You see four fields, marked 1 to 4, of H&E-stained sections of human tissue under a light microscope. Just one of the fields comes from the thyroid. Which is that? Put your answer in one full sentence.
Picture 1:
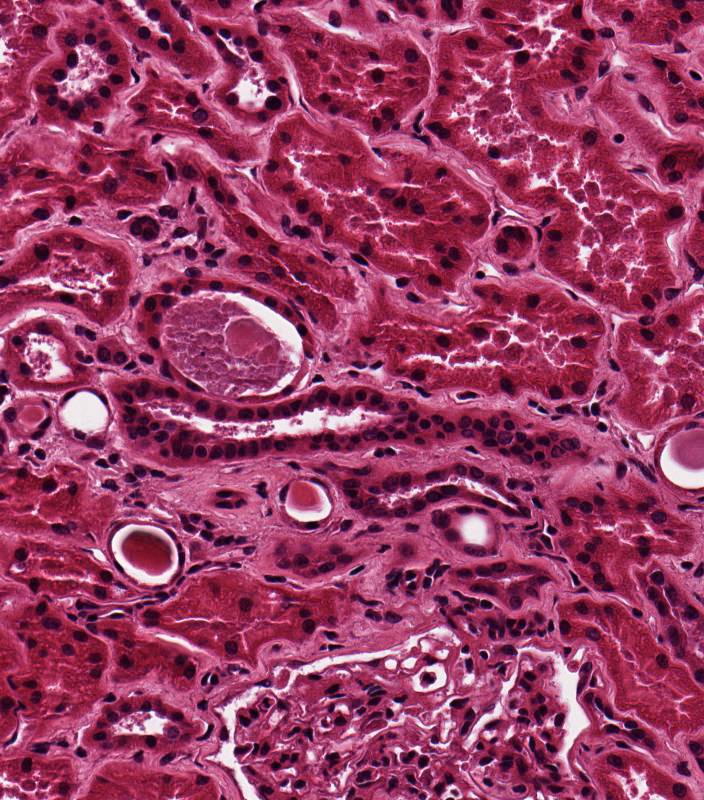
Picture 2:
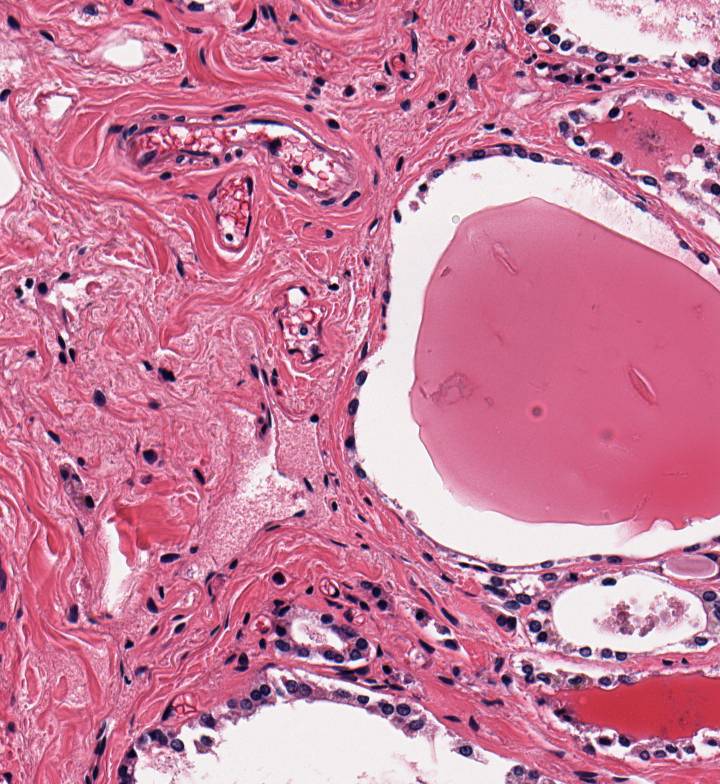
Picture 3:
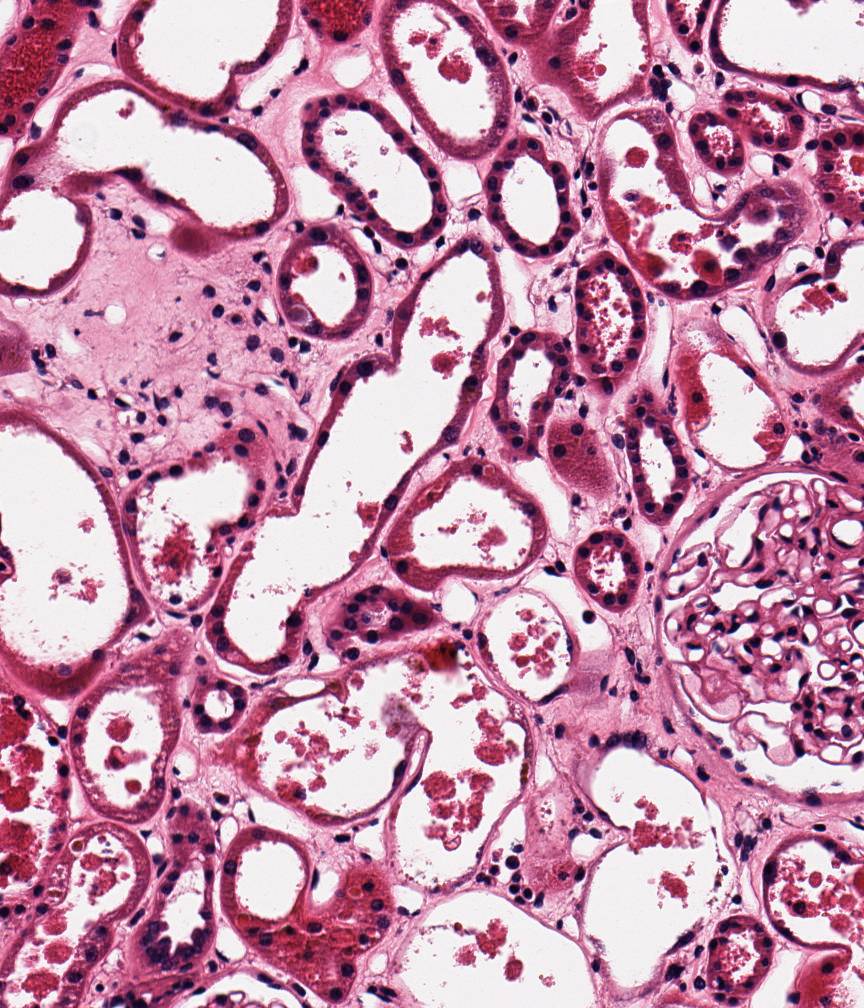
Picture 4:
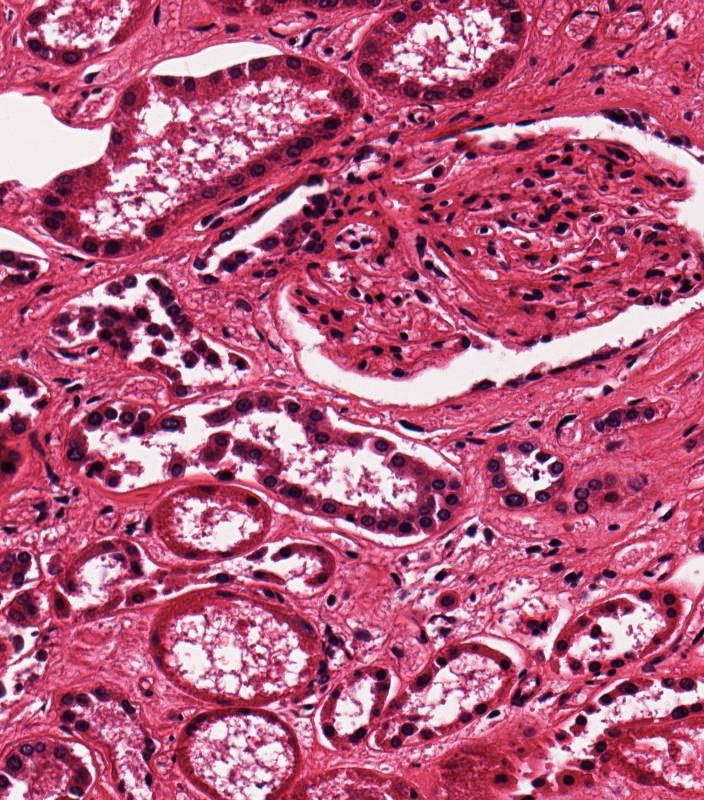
Picture 2 comes from the thyroid.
